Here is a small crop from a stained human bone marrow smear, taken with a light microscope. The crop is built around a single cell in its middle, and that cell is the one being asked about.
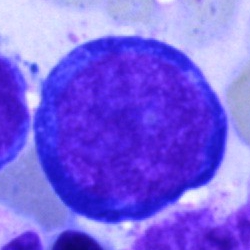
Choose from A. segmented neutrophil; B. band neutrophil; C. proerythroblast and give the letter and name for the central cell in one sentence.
Option C holds up: the cell in the middle is a proerythroblast.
